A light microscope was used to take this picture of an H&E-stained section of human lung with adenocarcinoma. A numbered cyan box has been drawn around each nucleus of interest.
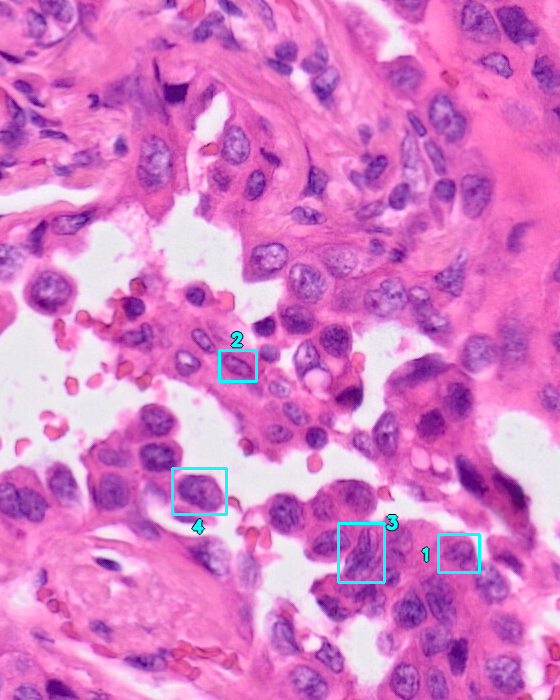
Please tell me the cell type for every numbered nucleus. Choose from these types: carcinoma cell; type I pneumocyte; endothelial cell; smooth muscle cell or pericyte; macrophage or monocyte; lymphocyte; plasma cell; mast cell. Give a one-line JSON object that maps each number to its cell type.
{"1": "carcinoma cell", "2": "macrophage or monocyte", "3": "carcinoma cell", "4": "carcinoma cell"}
